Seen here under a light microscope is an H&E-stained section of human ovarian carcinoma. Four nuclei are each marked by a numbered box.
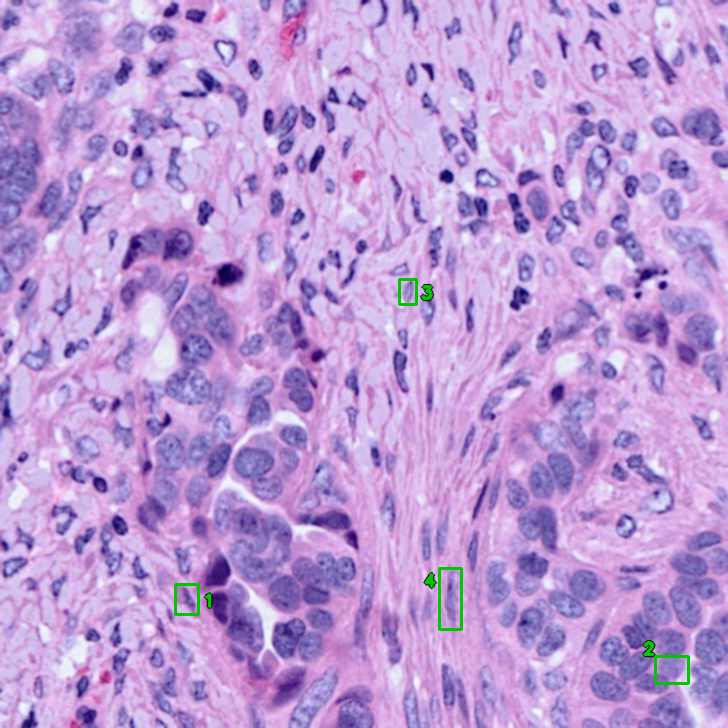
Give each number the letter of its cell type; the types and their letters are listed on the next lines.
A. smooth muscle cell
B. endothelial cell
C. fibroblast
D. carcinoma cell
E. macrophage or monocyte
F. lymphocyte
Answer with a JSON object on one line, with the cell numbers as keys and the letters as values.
{"1": "C", "2": "D", "3": "C", "4": "C"}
